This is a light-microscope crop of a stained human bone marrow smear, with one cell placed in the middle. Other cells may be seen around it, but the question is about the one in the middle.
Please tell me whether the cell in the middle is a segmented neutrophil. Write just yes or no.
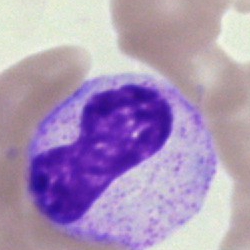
no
